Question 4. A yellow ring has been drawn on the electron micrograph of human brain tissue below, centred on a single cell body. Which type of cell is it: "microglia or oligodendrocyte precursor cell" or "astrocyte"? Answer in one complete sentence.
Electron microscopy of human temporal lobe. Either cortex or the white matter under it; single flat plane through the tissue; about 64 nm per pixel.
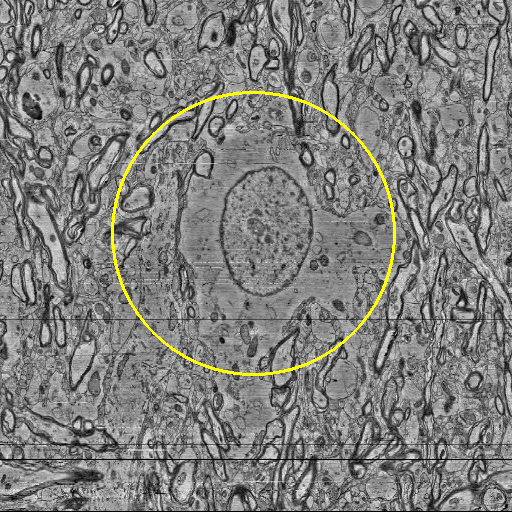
This cell body belongs to an astrocyte.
